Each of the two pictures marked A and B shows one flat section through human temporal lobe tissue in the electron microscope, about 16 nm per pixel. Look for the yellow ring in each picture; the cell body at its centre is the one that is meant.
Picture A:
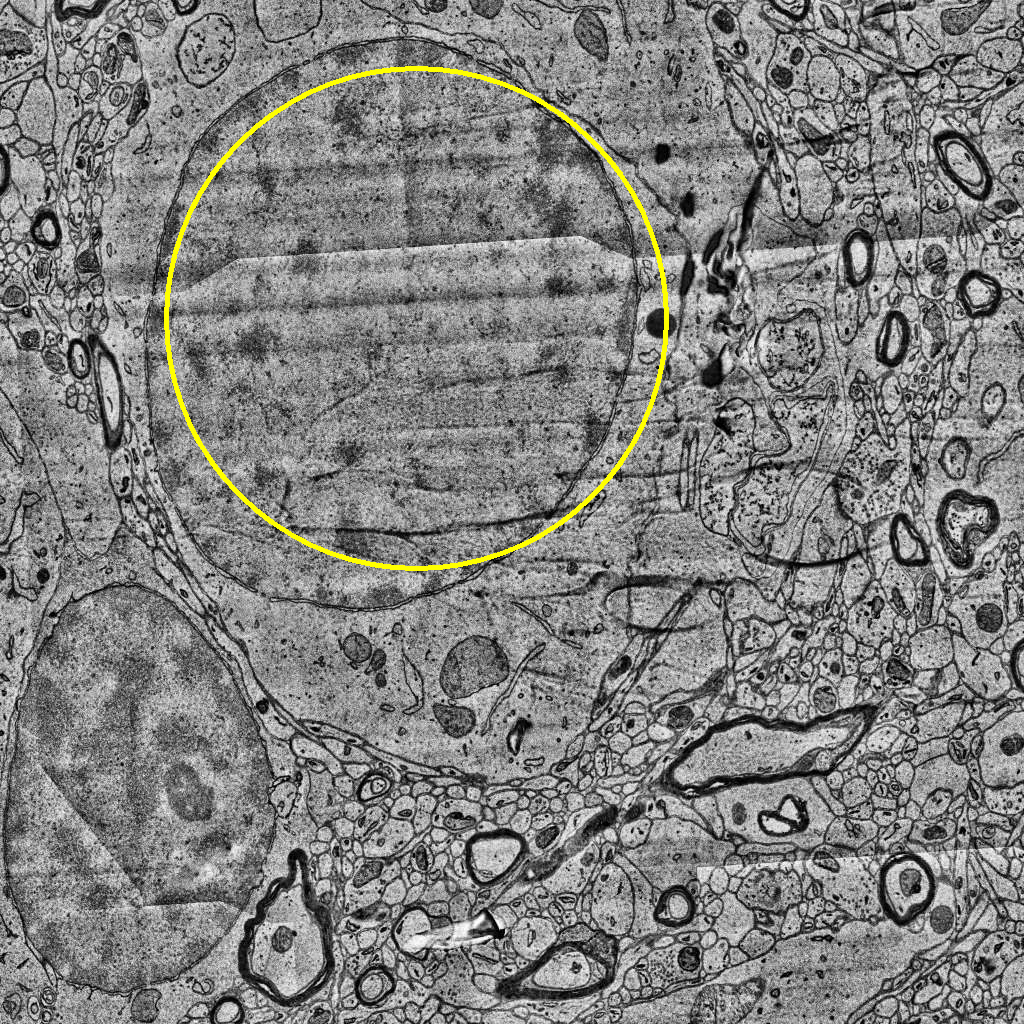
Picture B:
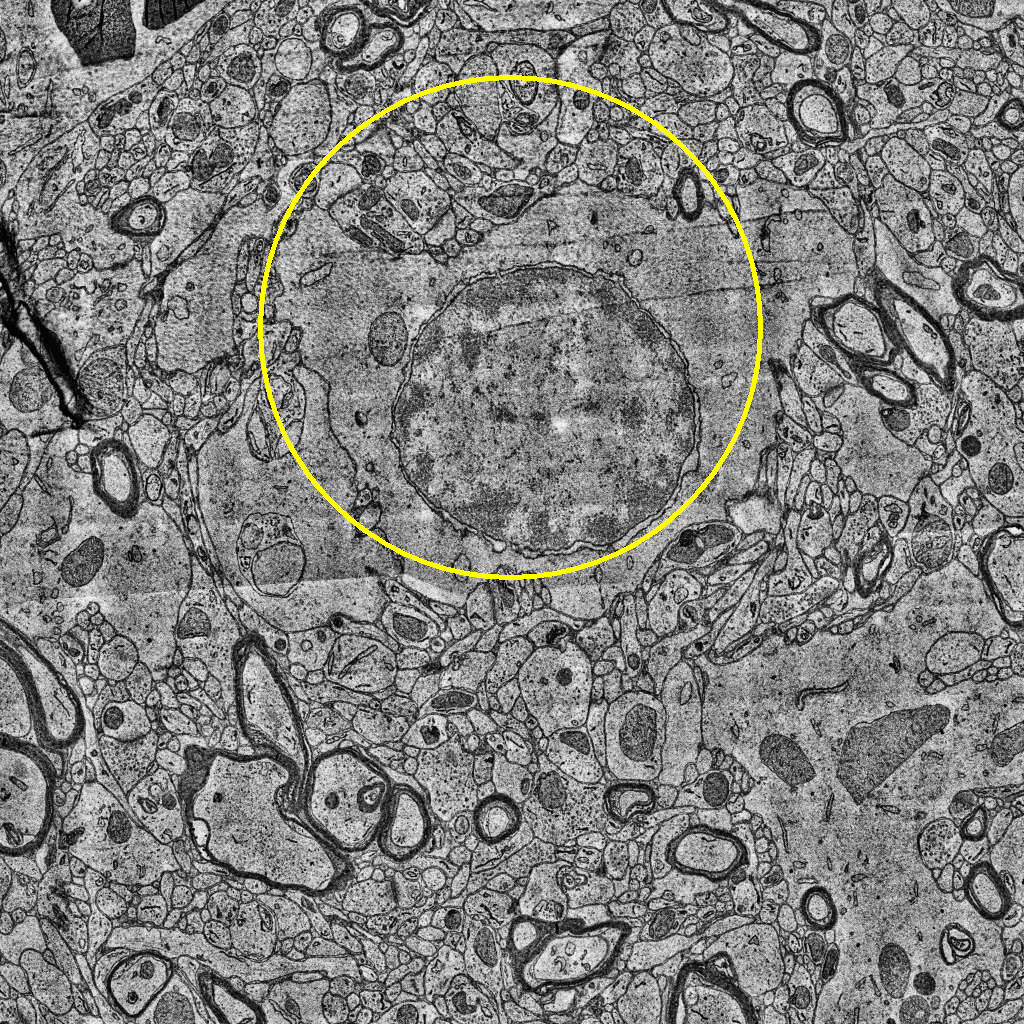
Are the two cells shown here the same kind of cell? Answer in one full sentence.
Yes, the two pictures both show astrocytes.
